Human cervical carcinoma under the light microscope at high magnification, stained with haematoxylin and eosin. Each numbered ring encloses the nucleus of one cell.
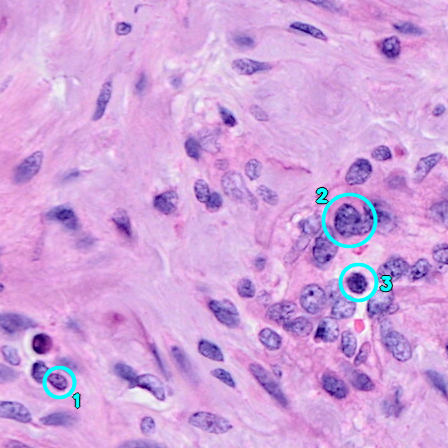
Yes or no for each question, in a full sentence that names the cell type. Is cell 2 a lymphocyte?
No, the marker 2 sits on an endothelial cell, not on a lymphocyte.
